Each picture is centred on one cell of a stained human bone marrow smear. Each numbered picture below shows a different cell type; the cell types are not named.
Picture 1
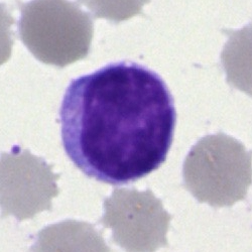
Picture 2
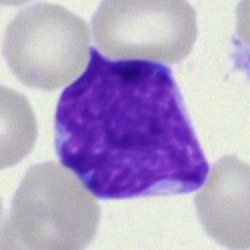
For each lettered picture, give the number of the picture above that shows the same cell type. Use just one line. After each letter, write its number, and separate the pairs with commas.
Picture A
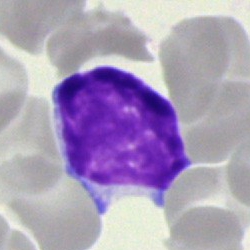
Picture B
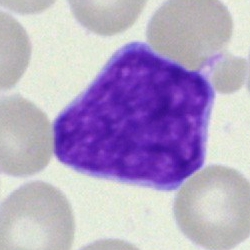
A 1, B 2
